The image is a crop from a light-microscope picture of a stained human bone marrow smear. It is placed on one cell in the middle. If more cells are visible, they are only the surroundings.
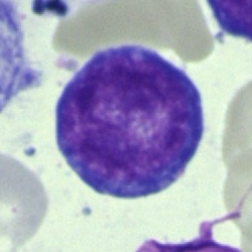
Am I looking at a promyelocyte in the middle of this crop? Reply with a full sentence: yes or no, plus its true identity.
No, not a promyelocyte but a proerythroblast is the cell in the centre.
